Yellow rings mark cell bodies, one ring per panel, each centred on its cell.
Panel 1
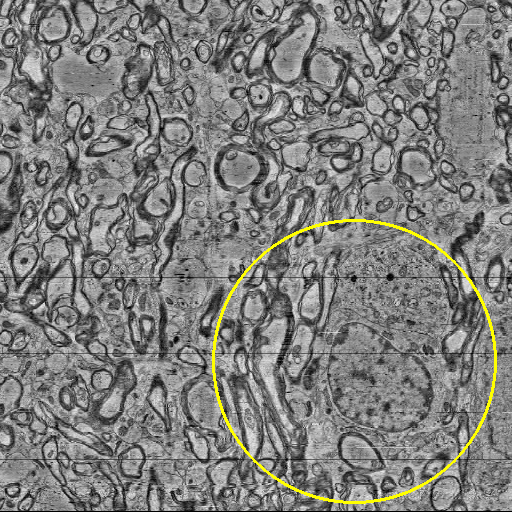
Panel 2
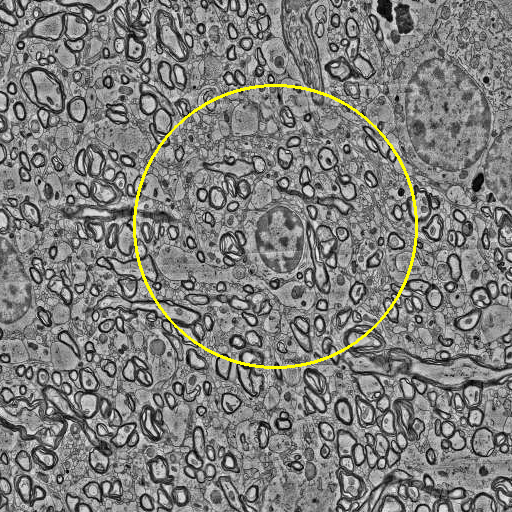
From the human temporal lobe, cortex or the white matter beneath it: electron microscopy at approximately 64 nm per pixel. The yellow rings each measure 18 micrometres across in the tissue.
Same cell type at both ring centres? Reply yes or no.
yes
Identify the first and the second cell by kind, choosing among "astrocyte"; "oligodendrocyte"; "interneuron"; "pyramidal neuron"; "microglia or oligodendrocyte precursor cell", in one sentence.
Each cell at the centre of a ring is a microglial cell or oligodendrocyte precursor cell.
